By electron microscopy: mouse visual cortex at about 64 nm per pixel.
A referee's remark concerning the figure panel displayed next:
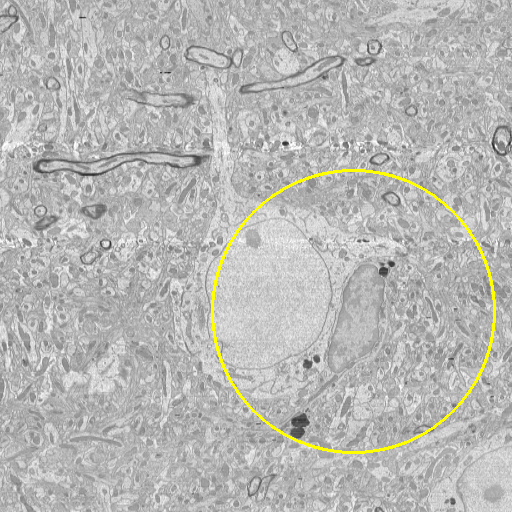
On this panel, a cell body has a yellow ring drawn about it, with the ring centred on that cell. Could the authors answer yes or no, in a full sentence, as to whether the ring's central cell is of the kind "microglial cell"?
Yes, the cell sitting at the middle of the ring on this panel belongs to that kind.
